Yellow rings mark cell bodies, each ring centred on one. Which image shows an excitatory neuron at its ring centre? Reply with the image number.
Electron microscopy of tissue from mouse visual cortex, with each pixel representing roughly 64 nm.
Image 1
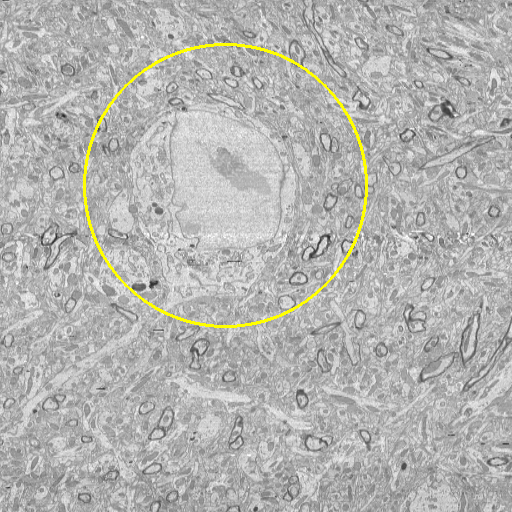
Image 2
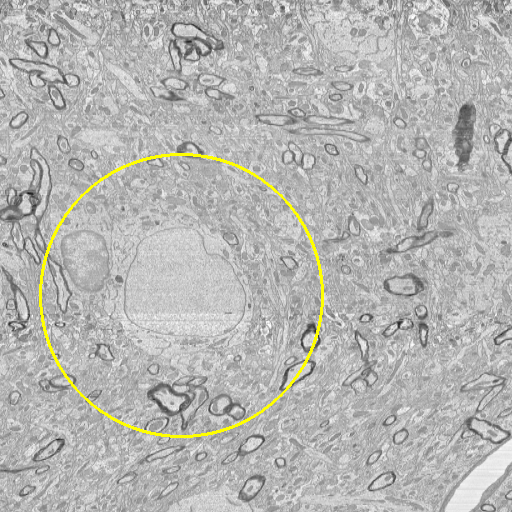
2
